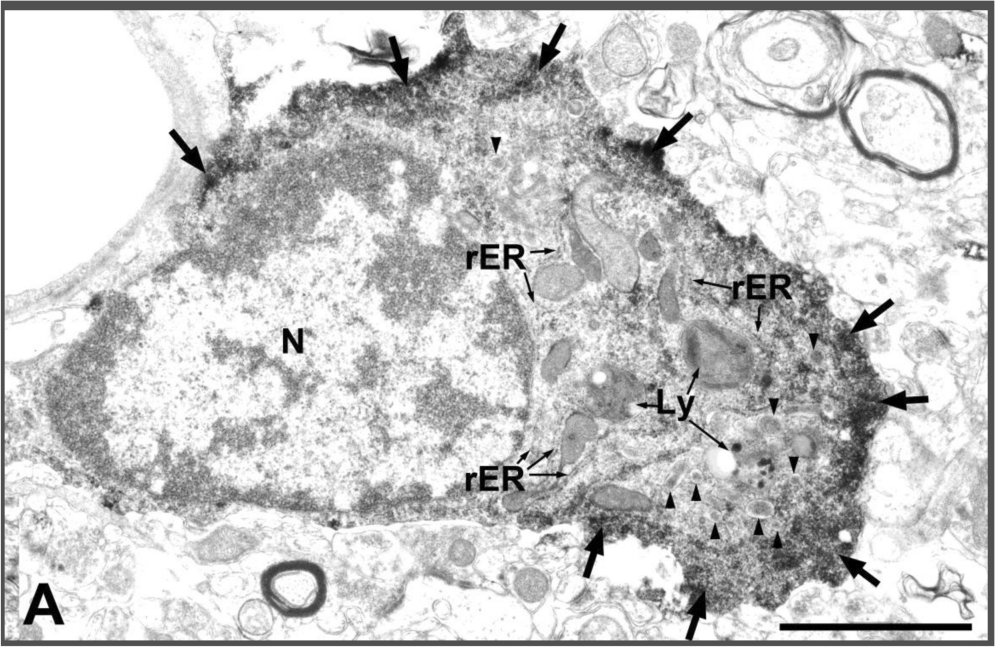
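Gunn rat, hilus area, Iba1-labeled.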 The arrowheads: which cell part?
Small vesicles containing low-density material.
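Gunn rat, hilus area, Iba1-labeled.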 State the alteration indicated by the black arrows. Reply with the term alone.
Increased electron density at the periphery of cytoplasm.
